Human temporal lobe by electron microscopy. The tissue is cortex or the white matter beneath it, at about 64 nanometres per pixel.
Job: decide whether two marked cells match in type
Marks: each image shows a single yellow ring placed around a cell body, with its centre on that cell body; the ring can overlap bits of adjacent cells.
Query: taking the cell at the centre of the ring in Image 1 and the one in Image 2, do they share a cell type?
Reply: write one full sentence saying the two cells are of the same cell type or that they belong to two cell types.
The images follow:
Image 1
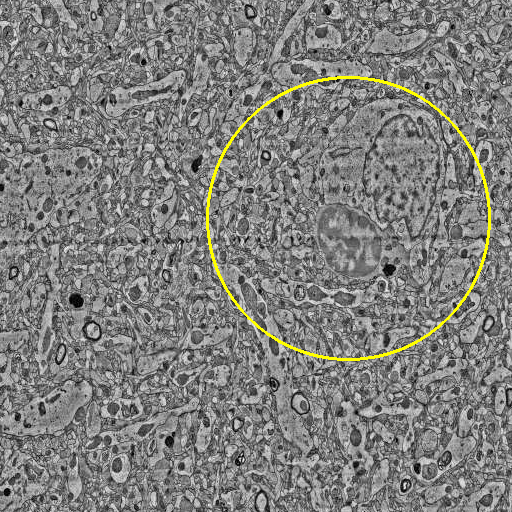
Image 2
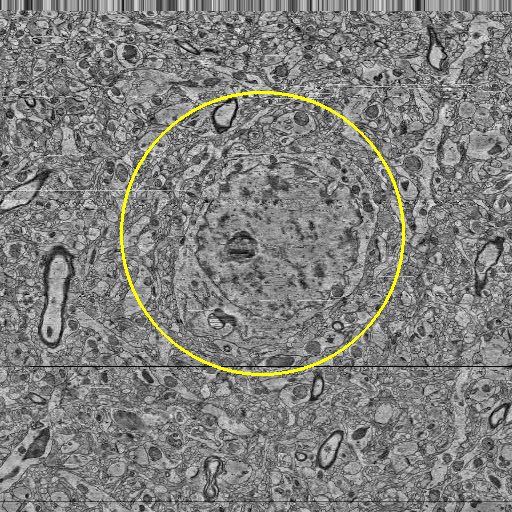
The cells at the ring centres in Image 1 and Image 2 belong to two cell types.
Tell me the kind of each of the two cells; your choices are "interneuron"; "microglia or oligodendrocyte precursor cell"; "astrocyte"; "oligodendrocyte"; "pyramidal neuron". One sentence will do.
The ringed cell is an oligodendrocyte in the first picture and an interneuron in the second picture.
